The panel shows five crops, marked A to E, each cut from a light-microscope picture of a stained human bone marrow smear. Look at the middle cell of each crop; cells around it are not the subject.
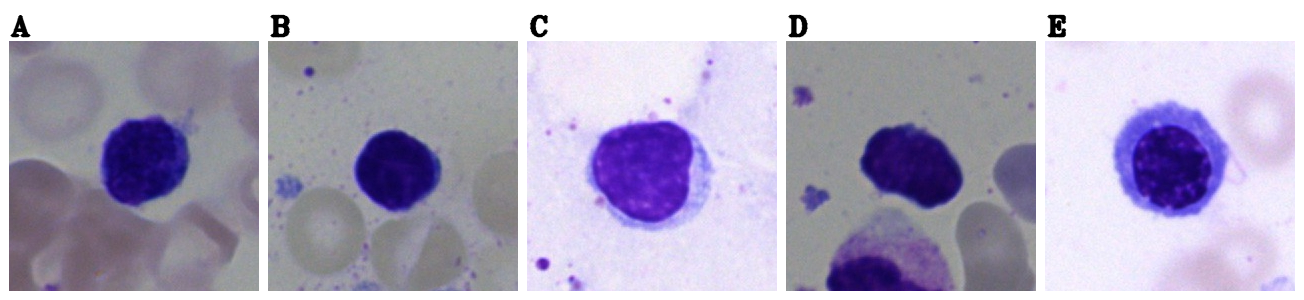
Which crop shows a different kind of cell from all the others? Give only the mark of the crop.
E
